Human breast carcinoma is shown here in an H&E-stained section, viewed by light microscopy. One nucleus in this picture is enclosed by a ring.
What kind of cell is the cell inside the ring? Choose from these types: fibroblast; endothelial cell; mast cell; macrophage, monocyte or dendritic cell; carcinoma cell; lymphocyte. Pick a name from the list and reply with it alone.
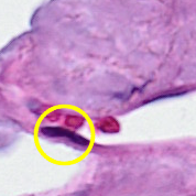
endothelial cell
